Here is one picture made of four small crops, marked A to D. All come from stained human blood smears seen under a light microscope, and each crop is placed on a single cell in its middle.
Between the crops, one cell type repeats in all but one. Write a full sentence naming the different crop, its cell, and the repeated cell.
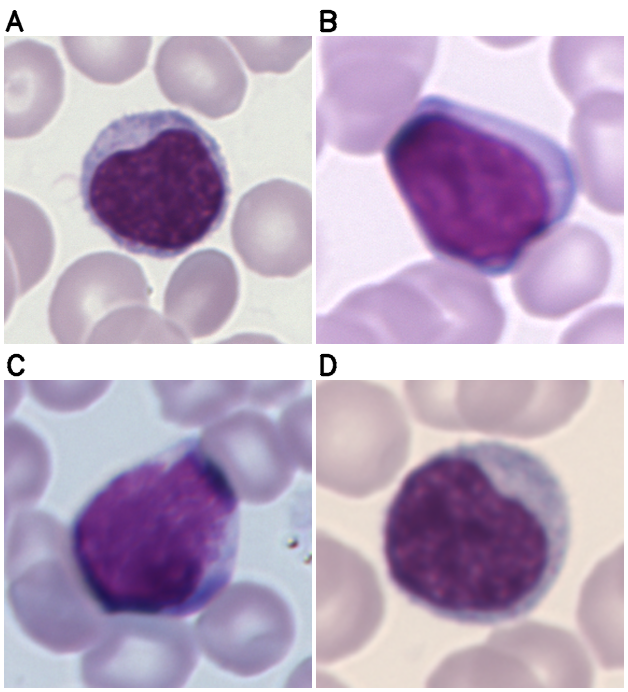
Excluding crop C, which is a large granular lymphocyte, the crops all show typical lymphocytes.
